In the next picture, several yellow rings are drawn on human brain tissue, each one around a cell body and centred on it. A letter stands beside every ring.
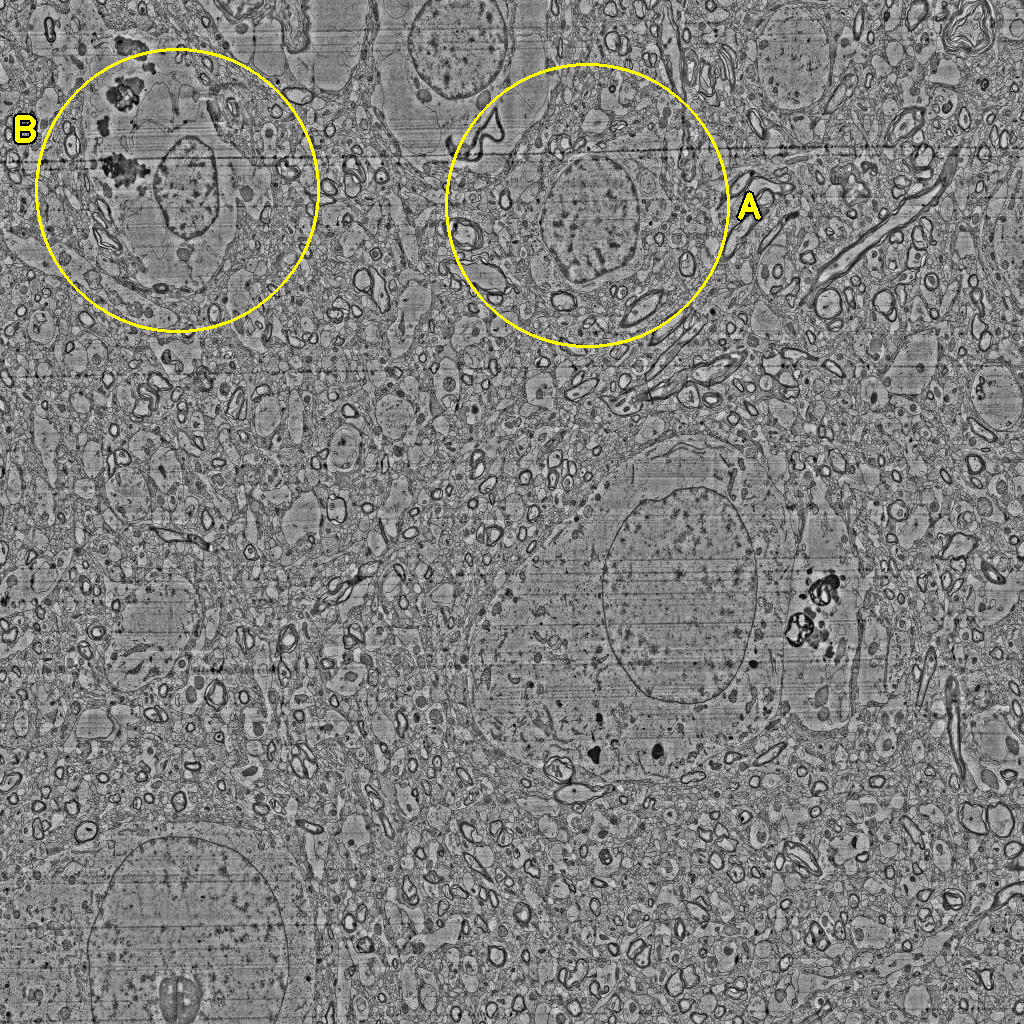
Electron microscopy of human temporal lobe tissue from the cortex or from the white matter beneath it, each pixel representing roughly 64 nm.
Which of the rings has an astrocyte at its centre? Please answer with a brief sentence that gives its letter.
Ring B has it at its centre.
